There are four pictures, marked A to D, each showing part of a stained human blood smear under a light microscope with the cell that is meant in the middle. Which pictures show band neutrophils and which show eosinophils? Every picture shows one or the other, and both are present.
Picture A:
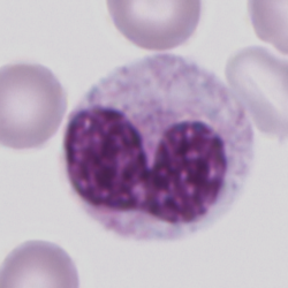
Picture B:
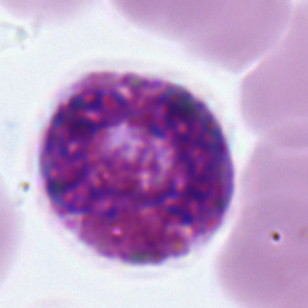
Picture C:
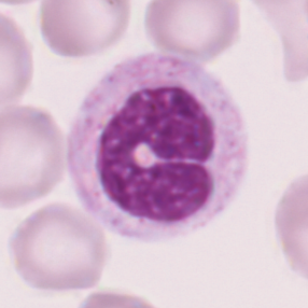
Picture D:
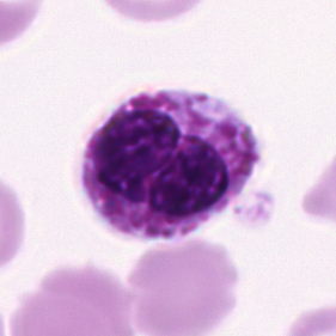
A: band neutrophil
B: eosinophil
C: band neutrophil
D: eosinophil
